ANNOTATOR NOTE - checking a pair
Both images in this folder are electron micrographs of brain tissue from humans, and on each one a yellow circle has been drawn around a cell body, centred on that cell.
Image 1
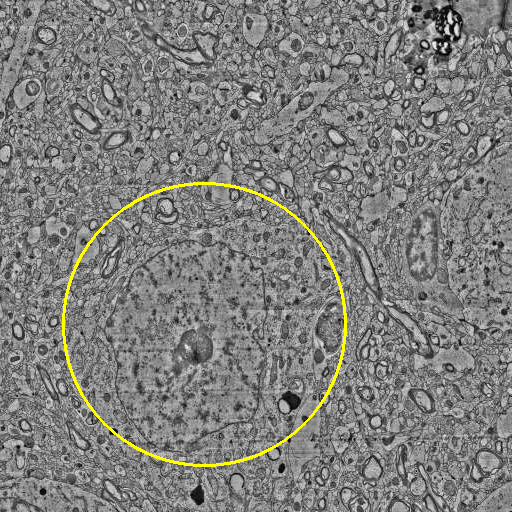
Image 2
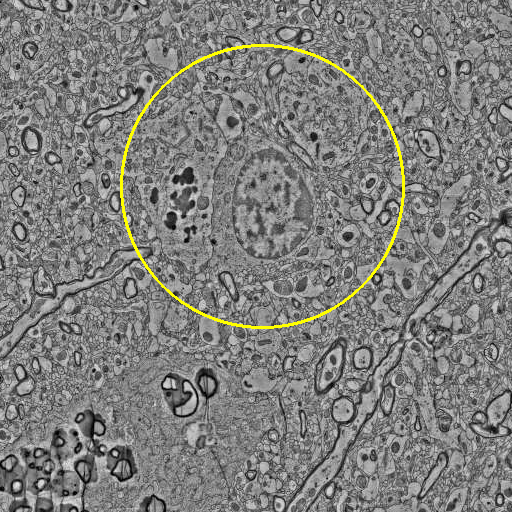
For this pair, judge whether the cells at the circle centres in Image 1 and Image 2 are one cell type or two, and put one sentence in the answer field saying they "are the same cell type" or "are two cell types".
For this pair, the cells at the circle centres in Images 1 and 2 are two cell types.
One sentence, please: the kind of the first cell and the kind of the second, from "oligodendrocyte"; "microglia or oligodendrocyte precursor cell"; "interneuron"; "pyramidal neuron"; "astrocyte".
The ring in the first picture surrounds a pyramidal neuron, and the ring in the second surrounds an oligodendrocyte.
